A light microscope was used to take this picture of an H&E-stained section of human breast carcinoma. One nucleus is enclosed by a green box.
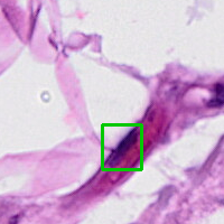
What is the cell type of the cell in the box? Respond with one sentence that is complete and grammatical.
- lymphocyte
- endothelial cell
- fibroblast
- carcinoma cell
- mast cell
The identity of the cell in the box: it is an endothelial cell.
